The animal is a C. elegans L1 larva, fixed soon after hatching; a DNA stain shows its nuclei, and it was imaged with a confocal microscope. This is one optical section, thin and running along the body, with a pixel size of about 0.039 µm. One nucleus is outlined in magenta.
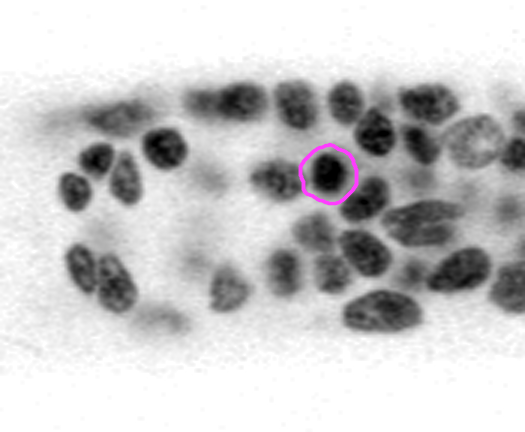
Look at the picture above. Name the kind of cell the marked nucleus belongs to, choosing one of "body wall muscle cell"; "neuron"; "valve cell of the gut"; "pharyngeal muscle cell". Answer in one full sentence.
What is marked is the nucleus of a neuron.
